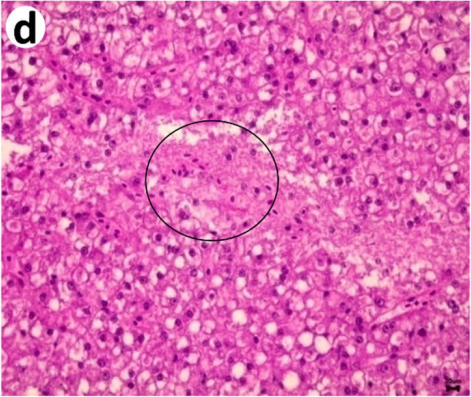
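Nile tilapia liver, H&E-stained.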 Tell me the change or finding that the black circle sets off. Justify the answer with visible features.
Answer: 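Hepatocellular necrosis. Inside the circle the regular hepatocyte outlines are lost. The circled area shows pale, fragmented pink material with scattered nuclei.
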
